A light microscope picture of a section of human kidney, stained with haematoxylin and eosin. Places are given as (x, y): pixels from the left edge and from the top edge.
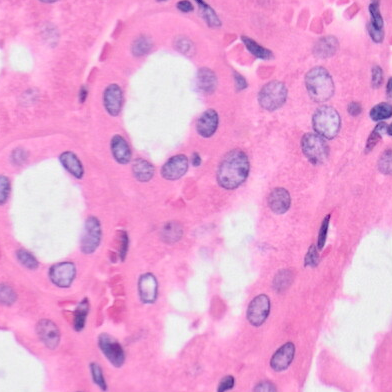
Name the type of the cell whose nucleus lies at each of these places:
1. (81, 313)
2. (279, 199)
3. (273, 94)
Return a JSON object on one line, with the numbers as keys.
{"1": "endothelial cell", "2": "proximal tubule cell", "3": "proximal tubule cell"}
